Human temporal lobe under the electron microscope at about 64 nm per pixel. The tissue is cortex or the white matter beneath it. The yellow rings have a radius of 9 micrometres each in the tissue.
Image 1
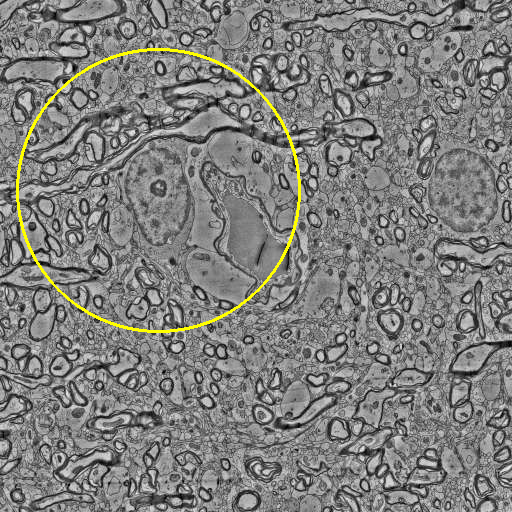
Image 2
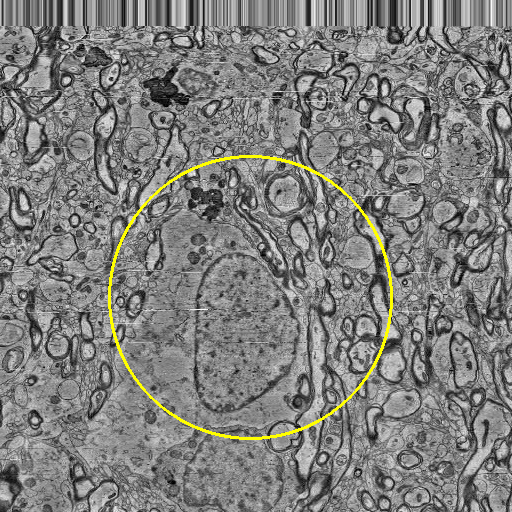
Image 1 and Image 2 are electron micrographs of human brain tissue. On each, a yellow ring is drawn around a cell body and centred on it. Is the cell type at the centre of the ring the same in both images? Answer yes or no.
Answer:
no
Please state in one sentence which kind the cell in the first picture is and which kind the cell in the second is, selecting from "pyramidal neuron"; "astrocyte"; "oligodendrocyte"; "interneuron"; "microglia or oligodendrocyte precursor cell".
The first ringed cell is an oligodendrocyte, the second ringed cell an astrocyte.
